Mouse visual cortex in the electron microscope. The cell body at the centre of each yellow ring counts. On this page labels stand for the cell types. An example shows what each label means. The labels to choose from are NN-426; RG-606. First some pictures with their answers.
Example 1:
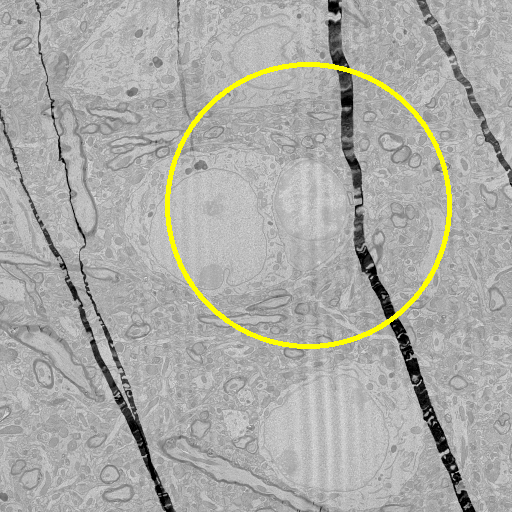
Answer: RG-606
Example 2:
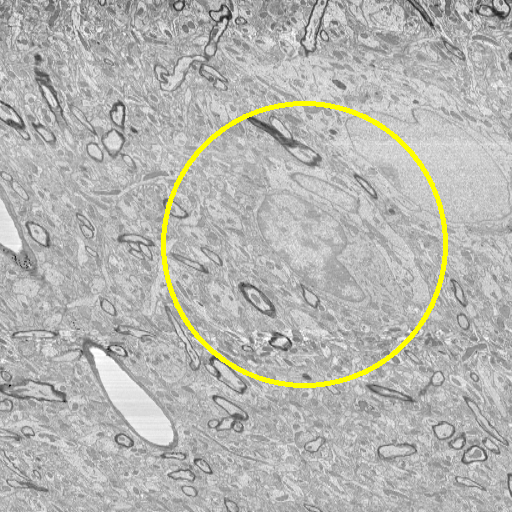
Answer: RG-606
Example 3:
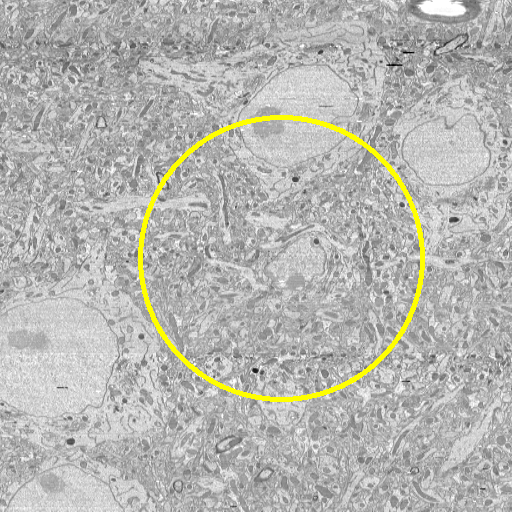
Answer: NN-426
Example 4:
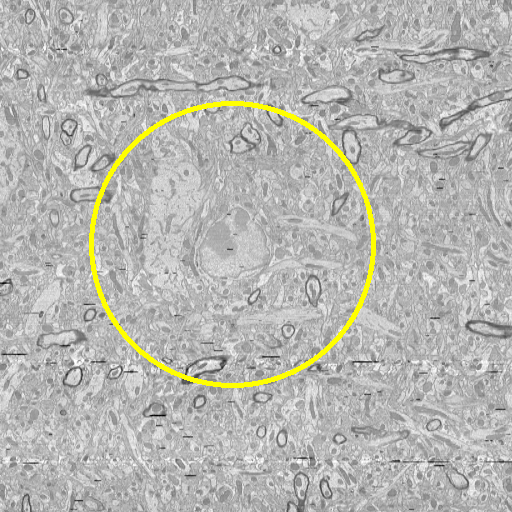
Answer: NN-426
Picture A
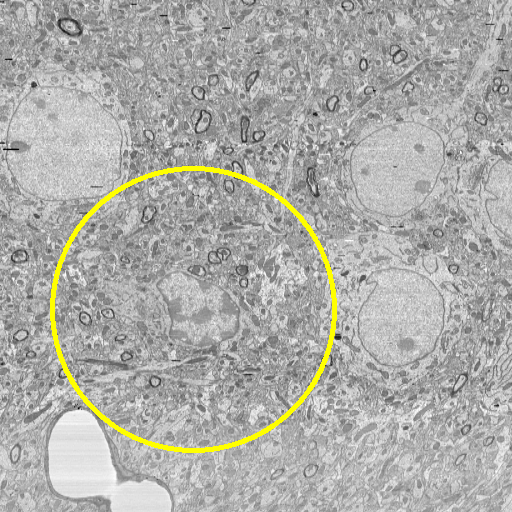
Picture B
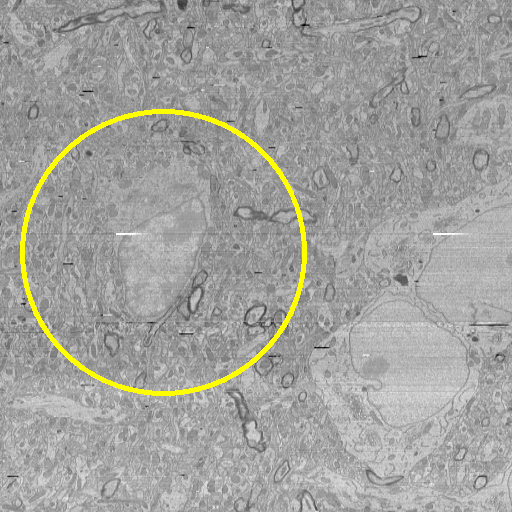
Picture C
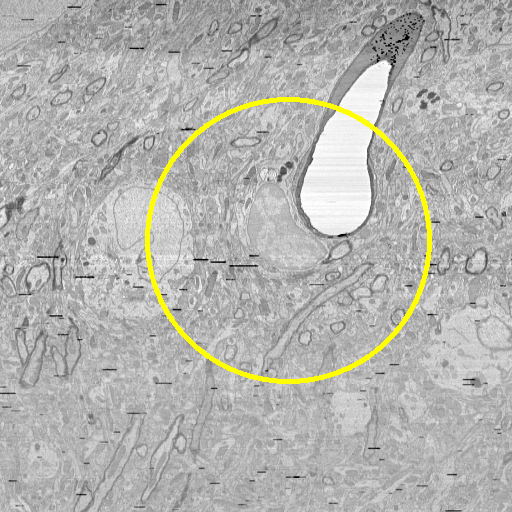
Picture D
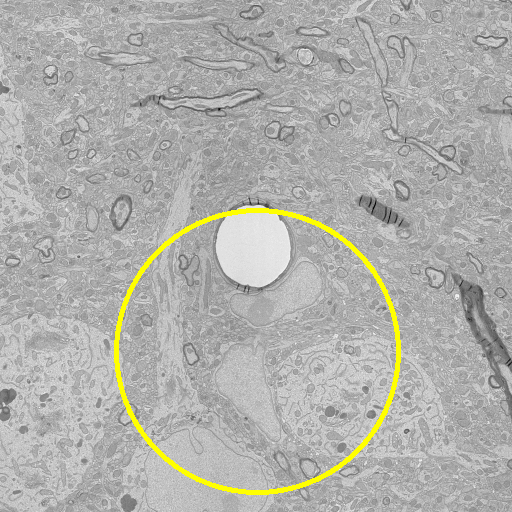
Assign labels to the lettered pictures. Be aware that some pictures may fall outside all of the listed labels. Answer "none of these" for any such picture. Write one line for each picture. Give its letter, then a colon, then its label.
A: RG-606
B: RG-606
C: none of these
D: NN-426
